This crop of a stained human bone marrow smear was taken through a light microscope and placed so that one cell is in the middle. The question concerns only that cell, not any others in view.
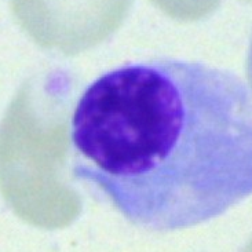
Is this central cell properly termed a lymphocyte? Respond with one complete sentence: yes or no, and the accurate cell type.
No, the cell in the middle is an erythroblast, not a lymphocyte.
